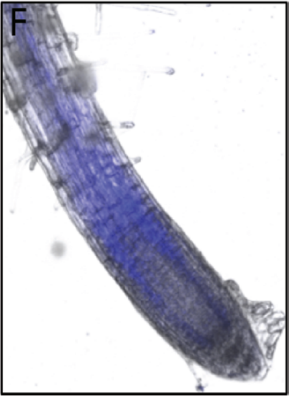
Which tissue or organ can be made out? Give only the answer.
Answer: root tip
